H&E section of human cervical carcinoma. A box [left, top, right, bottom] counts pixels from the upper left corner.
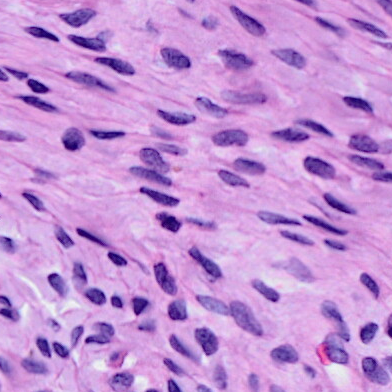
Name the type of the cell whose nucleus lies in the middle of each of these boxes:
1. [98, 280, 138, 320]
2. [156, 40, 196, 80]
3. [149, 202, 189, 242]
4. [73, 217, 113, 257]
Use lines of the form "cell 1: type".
cell 1: fibroblast
cell 2: fibroblast
cell 3: lymphocyte
cell 4: fibroblast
